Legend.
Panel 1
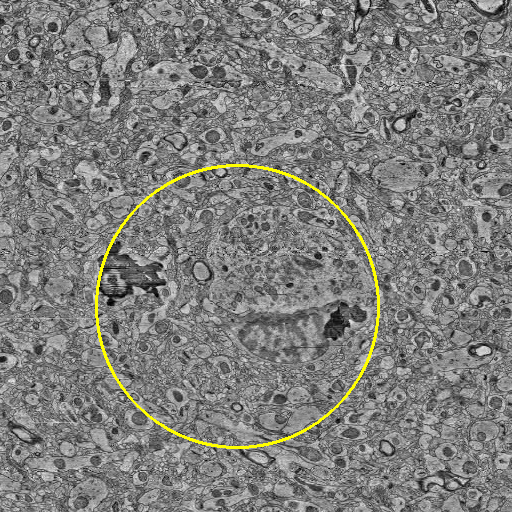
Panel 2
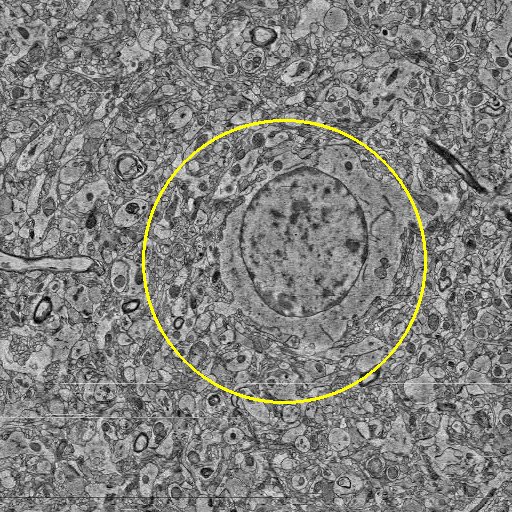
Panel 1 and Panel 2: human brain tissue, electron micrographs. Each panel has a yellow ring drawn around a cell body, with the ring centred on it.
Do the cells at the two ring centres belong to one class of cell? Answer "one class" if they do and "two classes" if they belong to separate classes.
two classes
